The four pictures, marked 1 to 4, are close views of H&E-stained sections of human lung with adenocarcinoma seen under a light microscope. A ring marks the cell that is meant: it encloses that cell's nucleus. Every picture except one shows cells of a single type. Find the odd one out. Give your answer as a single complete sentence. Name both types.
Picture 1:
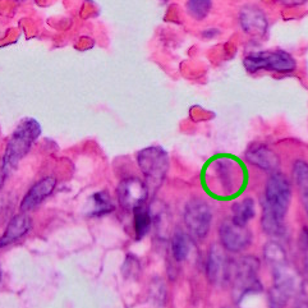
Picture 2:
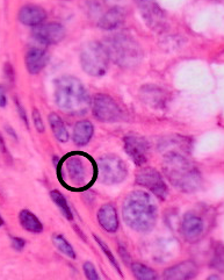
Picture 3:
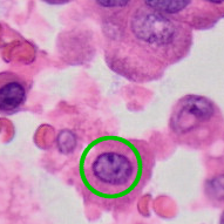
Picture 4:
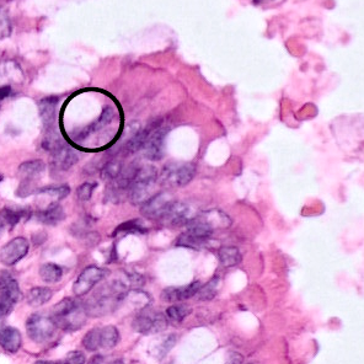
The different one is picture 3; it shows a “macrophage or monocyte”, whereas all the others show ciliated epithelial cells.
